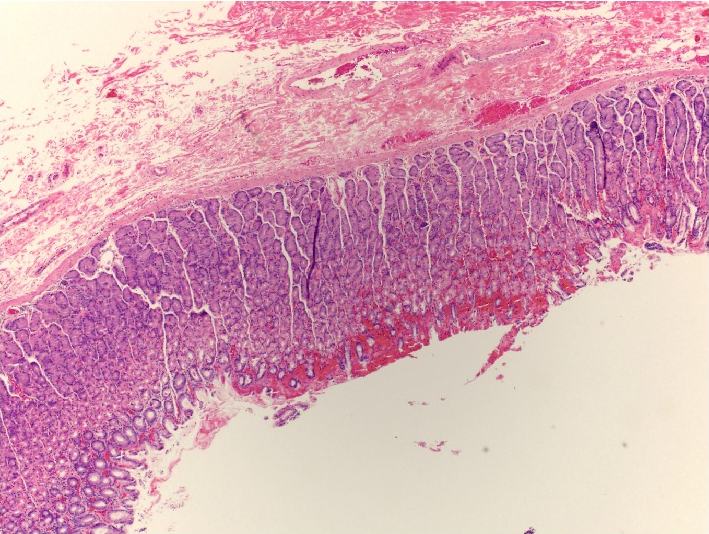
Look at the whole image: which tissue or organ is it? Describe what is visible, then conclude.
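A thick mucosa made of closely packed, straight tubular glands runs perpendicular to the surface. The glands are filled with densely packed purple-staining glandular cells. A thin band of pink tissue and loose connective tissue with blood vessels lie beneath the glandular layer.
Conclusion: stomach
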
